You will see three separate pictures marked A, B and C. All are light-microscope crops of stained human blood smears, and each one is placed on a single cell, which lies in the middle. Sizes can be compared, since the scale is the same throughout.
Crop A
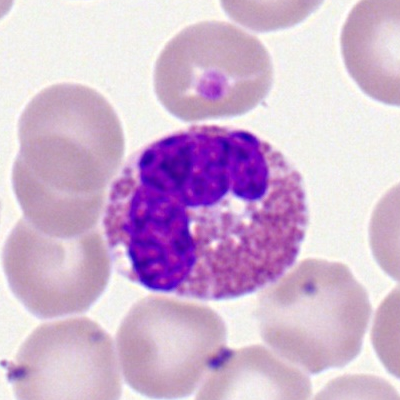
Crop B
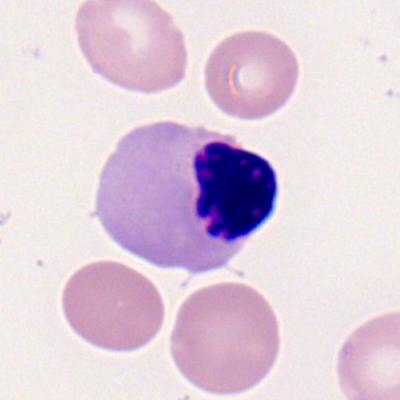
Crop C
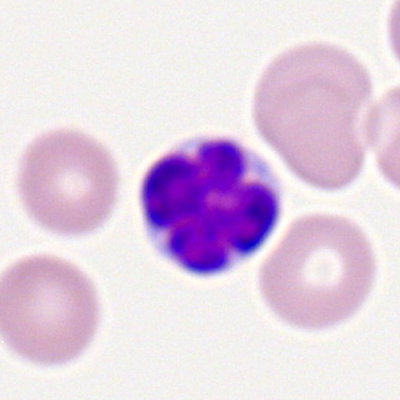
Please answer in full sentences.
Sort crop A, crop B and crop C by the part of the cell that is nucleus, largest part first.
From the most filled to the least, the order is C, A, B.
